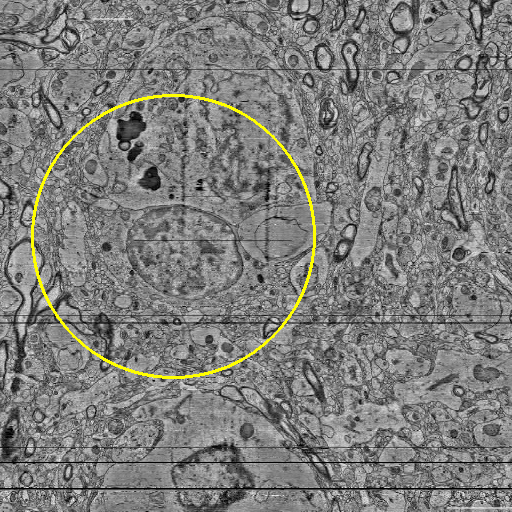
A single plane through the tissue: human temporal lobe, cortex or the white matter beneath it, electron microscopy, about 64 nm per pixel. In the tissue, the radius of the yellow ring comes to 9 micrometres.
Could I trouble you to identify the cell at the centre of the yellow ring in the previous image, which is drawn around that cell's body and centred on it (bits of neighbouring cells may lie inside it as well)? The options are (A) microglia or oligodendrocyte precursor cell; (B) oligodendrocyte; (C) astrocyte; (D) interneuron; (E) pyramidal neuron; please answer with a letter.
B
